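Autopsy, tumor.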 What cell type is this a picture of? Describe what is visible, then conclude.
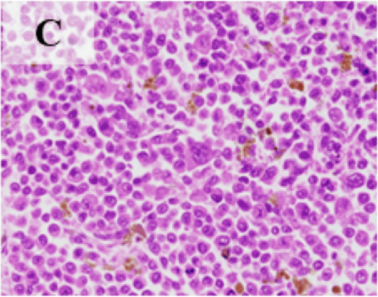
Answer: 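Atypical cells. Densely packed sheet of cells without organized architecture. Nuclei vary in size and shape, some with visible nucleoli.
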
